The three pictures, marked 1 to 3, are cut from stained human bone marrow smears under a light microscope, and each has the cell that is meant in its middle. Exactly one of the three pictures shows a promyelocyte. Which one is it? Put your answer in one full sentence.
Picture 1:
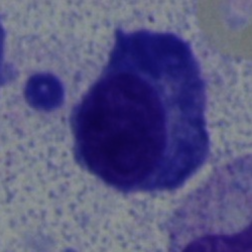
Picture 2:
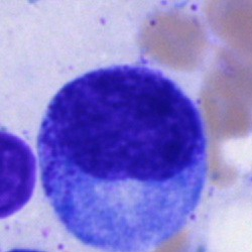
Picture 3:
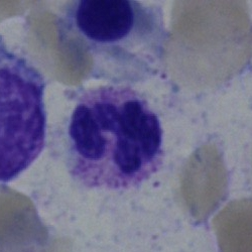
The cell in picture 2 is the promyelocyte.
